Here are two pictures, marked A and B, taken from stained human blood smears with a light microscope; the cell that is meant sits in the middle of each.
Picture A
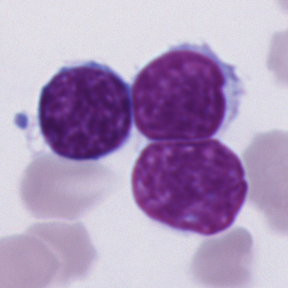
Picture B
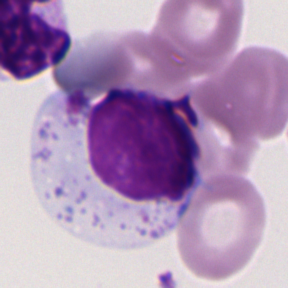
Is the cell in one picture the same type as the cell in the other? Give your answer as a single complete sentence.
No; the cell in picture A is a myeloblast, while the one in picture B is a large granular lymphocyte.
